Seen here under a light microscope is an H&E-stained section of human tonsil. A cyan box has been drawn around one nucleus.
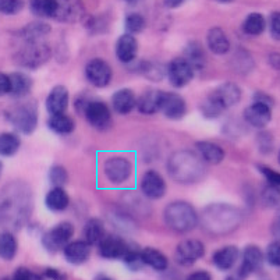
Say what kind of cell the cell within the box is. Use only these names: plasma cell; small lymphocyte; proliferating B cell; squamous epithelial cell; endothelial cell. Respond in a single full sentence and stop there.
Speaking plainly, the cell within the box is nothing other than an endothelial cell.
